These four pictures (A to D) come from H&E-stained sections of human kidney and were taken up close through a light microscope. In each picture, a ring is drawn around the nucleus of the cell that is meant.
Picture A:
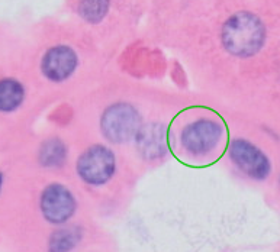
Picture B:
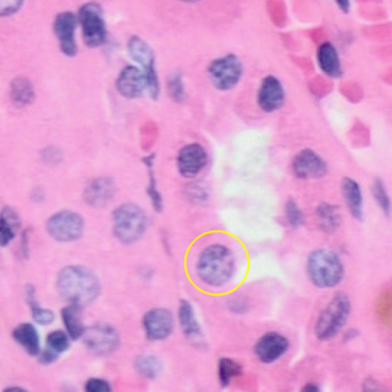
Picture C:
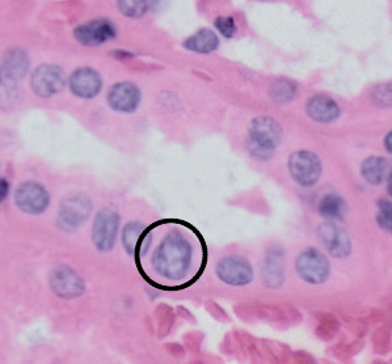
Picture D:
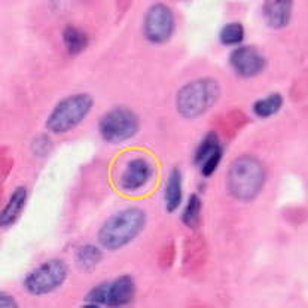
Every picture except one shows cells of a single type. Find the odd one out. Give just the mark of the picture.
B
